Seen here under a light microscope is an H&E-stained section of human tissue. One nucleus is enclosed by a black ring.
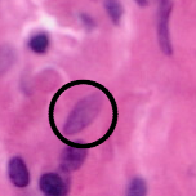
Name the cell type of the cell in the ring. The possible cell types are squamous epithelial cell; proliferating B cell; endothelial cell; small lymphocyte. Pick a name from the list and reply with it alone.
endothelial cell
